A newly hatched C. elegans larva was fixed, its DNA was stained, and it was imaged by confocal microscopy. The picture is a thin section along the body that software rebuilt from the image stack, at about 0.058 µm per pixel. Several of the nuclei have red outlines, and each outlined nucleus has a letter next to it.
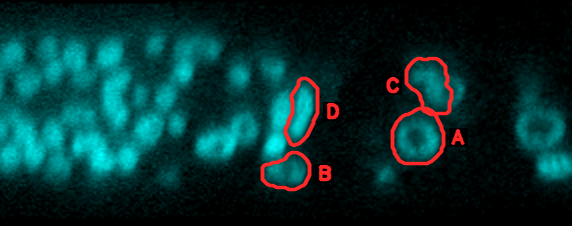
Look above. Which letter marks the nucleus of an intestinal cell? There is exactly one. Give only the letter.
A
